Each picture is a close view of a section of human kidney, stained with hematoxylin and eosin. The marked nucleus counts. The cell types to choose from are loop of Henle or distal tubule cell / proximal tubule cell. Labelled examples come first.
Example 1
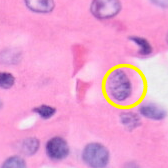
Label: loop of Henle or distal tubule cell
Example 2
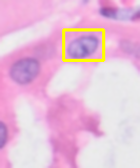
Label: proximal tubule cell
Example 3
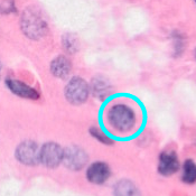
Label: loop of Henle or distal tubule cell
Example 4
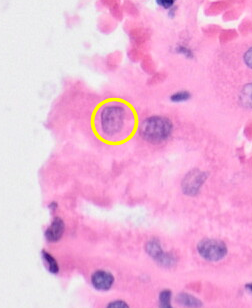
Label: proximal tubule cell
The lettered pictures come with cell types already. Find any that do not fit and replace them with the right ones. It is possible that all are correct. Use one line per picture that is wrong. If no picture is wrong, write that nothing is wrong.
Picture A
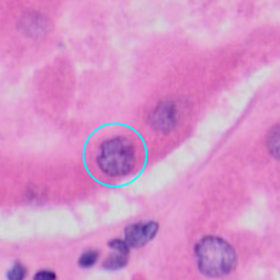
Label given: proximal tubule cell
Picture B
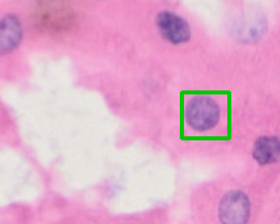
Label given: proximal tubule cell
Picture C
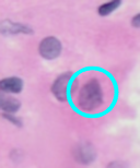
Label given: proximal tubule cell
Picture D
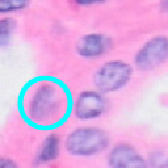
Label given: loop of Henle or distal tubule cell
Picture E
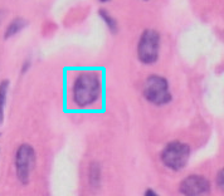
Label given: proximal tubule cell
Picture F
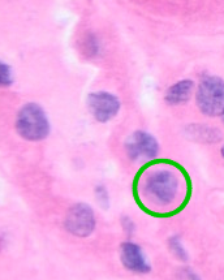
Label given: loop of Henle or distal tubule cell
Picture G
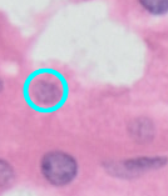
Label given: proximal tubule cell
Every label is right.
